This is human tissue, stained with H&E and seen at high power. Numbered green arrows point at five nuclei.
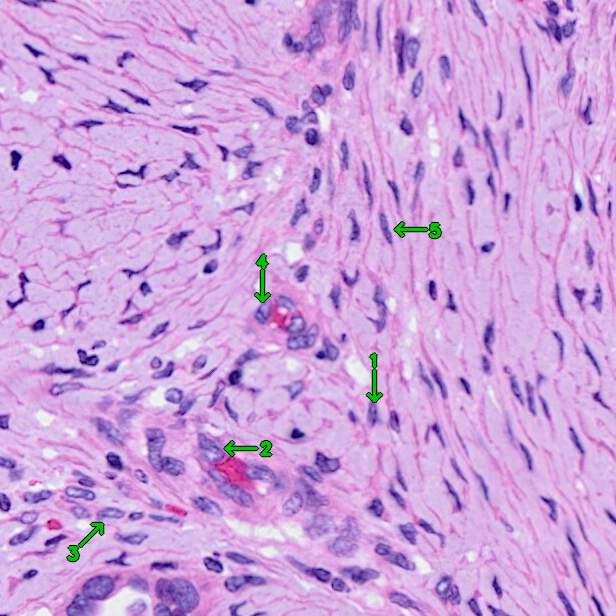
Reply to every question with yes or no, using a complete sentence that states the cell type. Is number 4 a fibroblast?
No, it is an endothelial cell that is marked with number 4, not a fibroblast.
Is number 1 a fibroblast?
Yes, exactly, the cell numbered 1 is a fibroblast.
